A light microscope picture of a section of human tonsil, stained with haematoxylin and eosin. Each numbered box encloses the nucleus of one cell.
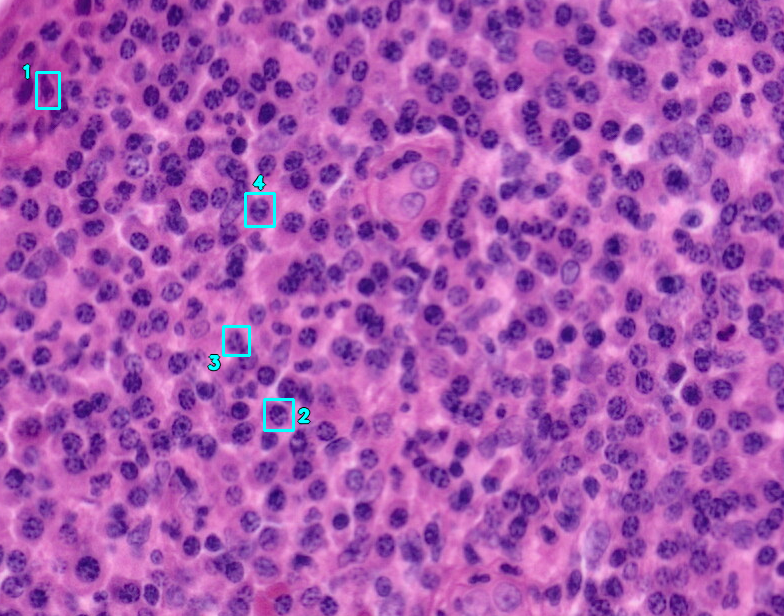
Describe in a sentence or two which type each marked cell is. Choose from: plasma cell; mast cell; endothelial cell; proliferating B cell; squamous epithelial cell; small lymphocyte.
Cell 1 is a squamous epithelial cell, cell 2 is a plasma cell, cell 3 is a plasma cell and cell 4 is a plasma cell.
